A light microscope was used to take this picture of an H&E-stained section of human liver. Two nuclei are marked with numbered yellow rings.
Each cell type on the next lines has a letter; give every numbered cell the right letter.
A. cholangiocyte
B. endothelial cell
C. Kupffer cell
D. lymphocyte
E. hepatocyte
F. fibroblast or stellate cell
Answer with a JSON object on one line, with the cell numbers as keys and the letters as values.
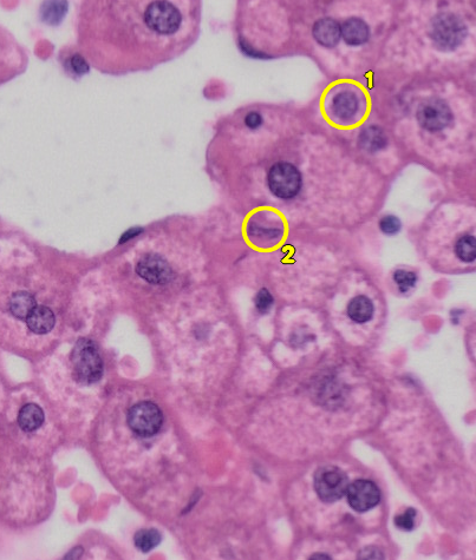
{"1": "E", "2": "F"}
